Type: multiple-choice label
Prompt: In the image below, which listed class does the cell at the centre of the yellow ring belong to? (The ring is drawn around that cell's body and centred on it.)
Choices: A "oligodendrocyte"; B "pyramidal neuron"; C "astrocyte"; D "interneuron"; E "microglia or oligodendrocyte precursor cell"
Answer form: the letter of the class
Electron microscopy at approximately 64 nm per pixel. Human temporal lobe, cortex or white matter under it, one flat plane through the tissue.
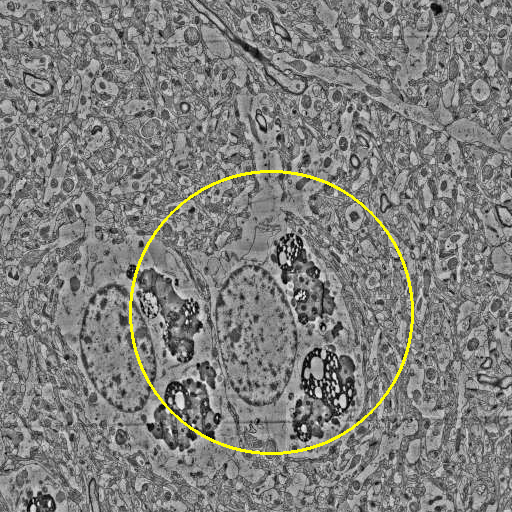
C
